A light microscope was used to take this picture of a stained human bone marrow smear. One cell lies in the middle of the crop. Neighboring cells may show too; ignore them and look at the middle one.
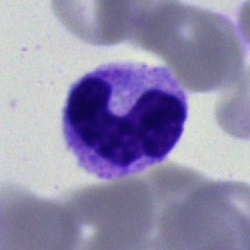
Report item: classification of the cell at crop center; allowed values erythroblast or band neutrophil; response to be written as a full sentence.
This crop is built around a band neutrophil at its centre.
